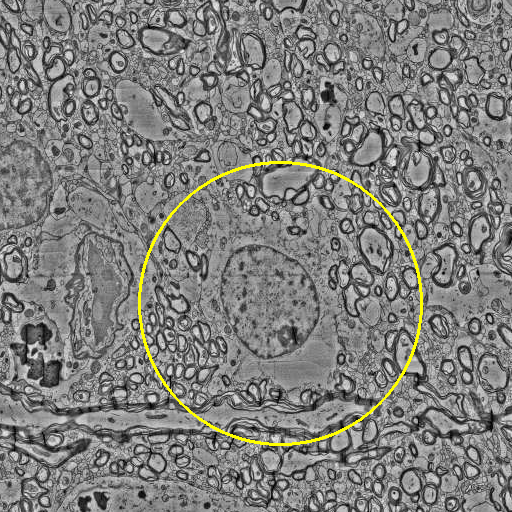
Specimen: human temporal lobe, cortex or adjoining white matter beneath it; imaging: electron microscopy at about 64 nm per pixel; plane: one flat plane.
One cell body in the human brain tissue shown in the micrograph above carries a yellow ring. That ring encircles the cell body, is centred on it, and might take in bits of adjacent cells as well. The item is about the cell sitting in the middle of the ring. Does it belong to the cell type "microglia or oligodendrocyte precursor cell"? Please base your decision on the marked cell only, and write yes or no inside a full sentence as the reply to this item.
No, the cell in the centre of the yellow ring belongs to a different kind.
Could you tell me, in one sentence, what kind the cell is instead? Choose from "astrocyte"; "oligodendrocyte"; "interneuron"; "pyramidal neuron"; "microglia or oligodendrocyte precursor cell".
Instead, the ring in this picture marks an astrocyte.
